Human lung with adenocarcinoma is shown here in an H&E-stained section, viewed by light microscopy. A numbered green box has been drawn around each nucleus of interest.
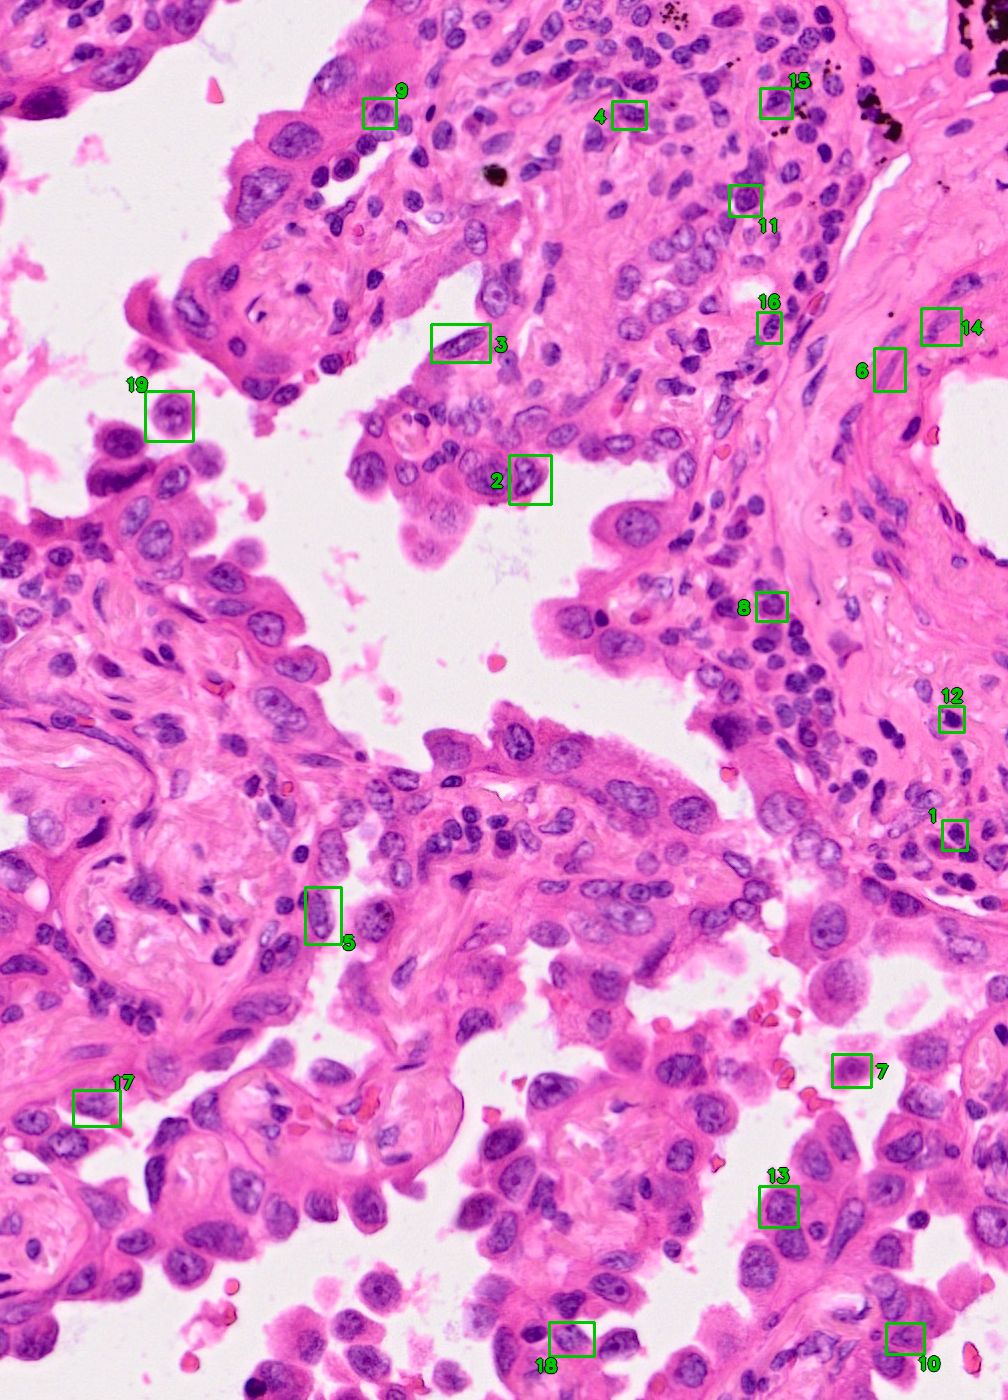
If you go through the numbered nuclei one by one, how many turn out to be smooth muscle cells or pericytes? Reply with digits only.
2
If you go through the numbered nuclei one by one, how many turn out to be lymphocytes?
3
